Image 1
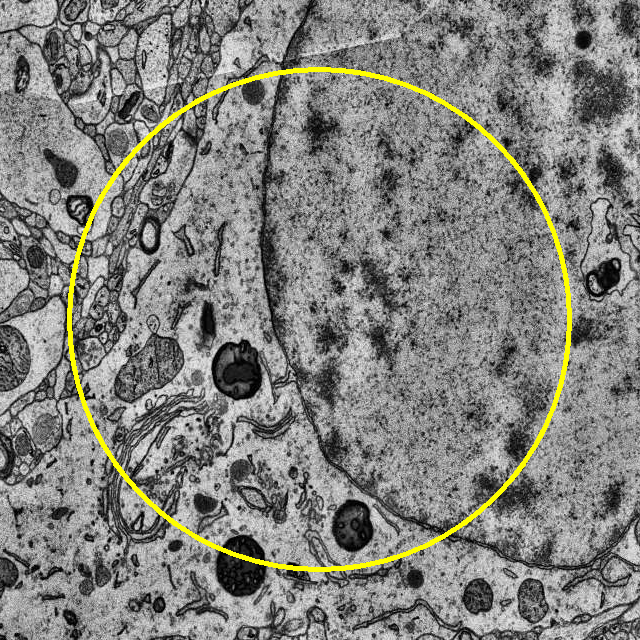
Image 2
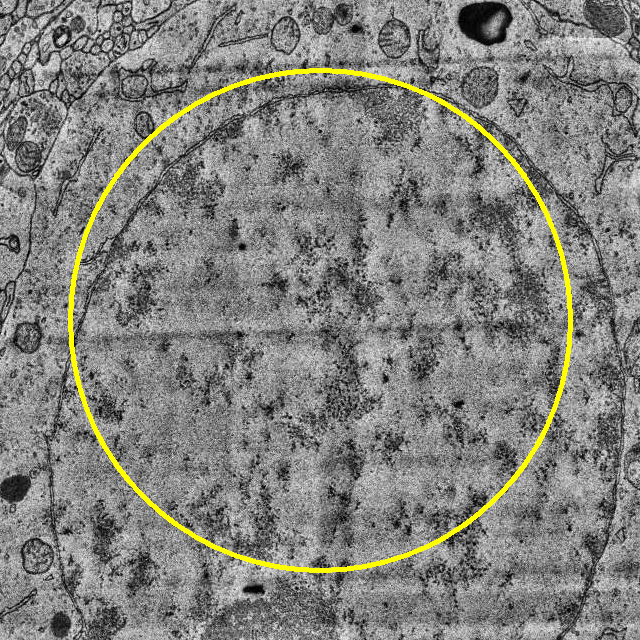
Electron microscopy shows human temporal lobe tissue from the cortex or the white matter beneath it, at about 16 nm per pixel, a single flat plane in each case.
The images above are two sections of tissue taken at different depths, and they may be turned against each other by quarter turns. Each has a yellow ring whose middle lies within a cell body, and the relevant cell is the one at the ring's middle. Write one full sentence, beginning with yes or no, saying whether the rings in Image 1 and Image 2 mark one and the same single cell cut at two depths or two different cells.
No, within the two rings lie two different cells.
